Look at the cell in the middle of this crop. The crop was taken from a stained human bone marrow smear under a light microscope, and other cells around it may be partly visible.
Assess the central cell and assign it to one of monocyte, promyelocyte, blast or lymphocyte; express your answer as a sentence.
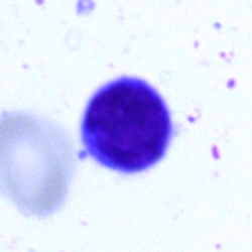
The centered cell in this crop is a lymphocyte.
